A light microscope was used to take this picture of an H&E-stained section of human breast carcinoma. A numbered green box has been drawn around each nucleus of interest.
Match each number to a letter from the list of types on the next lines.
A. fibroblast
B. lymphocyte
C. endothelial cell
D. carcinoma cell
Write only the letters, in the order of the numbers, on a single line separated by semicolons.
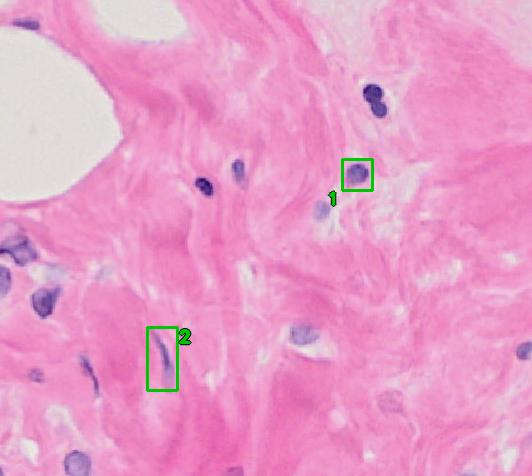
B; A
